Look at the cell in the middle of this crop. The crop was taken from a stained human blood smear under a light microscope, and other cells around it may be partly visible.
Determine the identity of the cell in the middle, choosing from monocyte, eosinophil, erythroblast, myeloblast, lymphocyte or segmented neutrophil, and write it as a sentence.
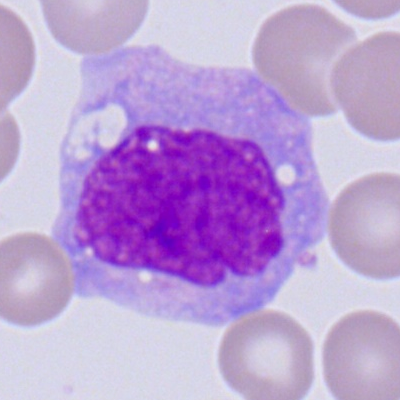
At the center of the crop sits a monocyte.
